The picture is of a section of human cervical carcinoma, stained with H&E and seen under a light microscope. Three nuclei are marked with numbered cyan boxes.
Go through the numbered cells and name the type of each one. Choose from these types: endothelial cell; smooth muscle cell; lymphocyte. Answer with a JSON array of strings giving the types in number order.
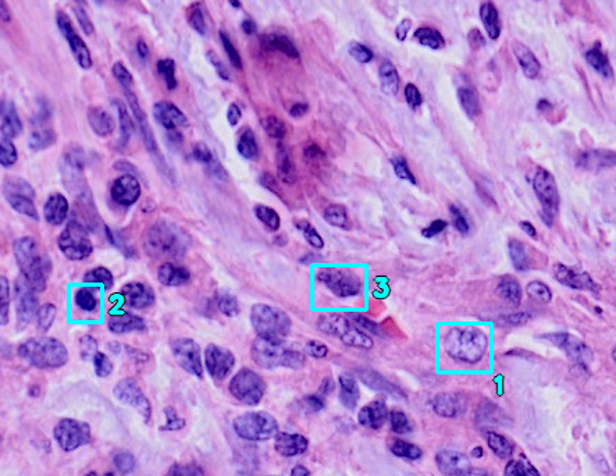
["endothelial cell", "lymphocyte", "endothelial cell"]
